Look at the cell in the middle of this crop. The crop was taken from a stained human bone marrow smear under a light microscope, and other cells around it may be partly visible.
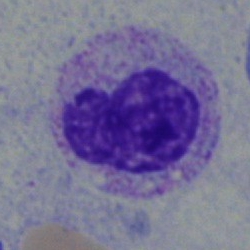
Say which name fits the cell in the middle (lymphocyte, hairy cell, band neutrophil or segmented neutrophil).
band neutrophil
